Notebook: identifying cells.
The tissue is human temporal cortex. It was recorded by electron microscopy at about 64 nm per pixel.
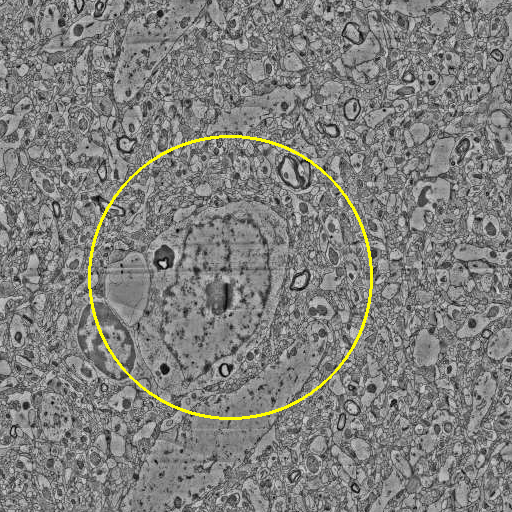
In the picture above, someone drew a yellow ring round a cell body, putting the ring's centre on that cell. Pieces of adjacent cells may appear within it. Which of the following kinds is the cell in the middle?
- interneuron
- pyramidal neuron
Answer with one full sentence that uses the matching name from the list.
In this picture, the yellow ring is centred on the body of an interneuron.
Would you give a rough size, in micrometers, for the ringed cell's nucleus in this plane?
The ringed cell's nucleus measures approximately 10 by 7 micrometres in this plane.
